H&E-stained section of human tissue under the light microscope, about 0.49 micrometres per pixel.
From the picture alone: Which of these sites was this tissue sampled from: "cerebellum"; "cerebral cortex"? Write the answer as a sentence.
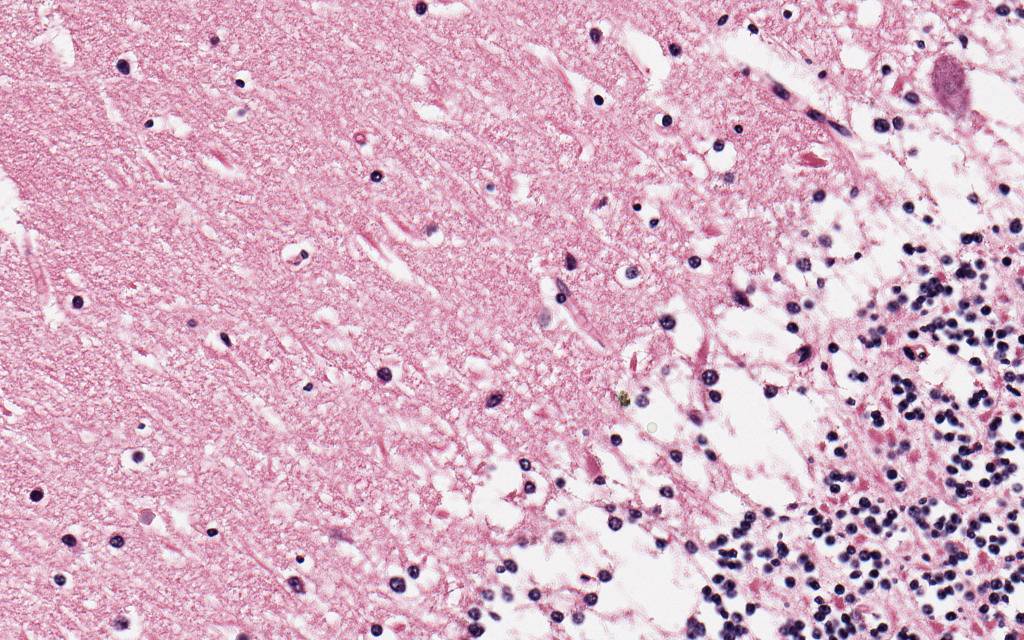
The site this tissue was sampled from is the cerebellum.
